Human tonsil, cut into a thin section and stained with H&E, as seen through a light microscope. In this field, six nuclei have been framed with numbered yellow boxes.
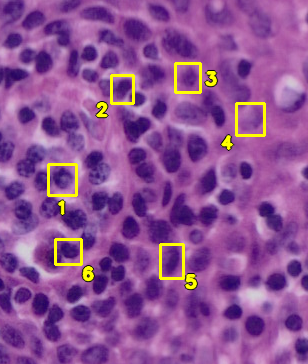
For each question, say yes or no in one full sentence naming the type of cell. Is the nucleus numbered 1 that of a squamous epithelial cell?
No, a plasma cell, not a squamous epithelial cell, is the cell with number 1.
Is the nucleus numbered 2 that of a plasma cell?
No, number 2 is assigned to a squamous epithelial cell, not to a plasma cell.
